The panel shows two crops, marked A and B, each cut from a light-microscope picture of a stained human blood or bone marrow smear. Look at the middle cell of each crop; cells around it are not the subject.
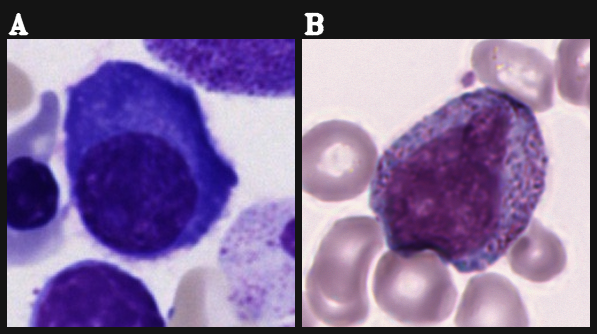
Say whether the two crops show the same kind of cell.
no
